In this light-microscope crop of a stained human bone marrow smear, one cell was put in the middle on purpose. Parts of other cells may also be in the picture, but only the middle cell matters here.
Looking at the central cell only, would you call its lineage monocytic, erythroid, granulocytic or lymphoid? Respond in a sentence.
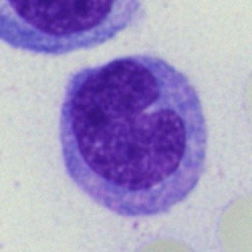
The cell at the center of the crop is assigned monocytic lineage.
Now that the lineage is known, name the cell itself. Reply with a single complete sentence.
The cell under consideration, at the middle of the crop, is a monocyte.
